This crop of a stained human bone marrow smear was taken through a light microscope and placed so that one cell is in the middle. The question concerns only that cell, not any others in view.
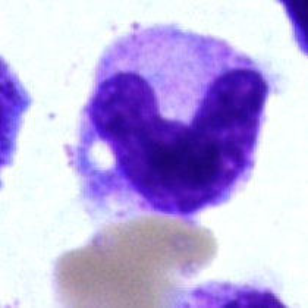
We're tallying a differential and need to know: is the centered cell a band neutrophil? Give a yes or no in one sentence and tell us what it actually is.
Yes, that is right: the middle cell is a band neutrophil.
